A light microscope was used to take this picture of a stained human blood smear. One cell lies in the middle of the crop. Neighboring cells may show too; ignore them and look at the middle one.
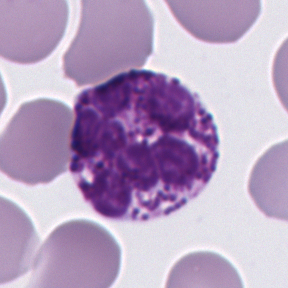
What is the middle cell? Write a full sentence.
The cell marked by its central position in the crop is a basophil.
